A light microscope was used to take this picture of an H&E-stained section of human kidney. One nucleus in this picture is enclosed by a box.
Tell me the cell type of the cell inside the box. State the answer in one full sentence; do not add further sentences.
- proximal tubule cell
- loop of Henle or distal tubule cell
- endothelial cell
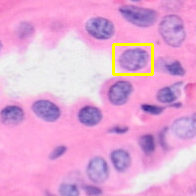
As far as its identity is concerned, the cell inside the box is a loop of Henle or distal tubule cell.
